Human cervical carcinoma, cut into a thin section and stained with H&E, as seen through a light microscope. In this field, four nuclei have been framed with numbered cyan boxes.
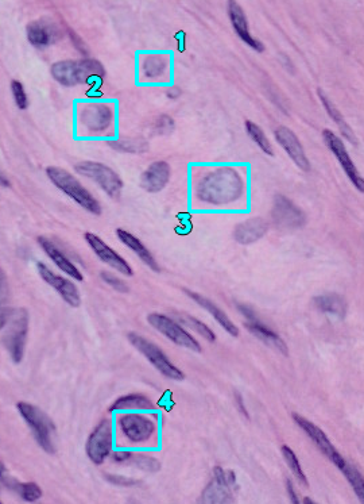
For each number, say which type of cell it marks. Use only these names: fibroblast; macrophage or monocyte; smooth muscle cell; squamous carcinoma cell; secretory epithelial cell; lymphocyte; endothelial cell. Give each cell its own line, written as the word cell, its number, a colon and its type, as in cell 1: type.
cell 1: smooth muscle cell
cell 2: smooth muscle cell
cell 3: smooth muscle cell
cell 4: endothelial cell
